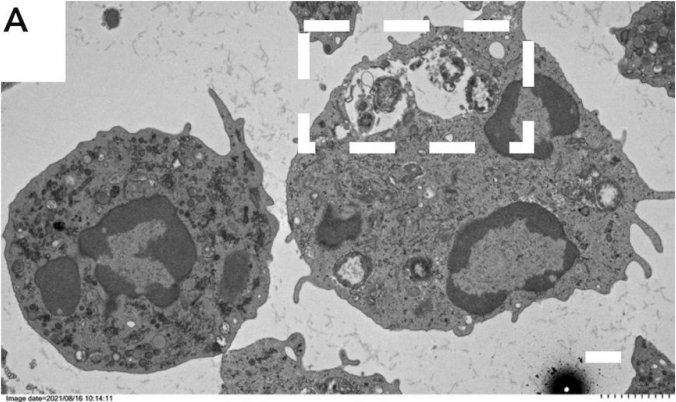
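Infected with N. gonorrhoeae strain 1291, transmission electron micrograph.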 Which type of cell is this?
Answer: Neutrophils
